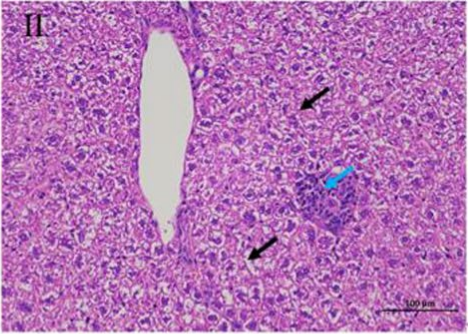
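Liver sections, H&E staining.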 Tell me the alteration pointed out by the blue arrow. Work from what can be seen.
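A compact cluster of small, round, dark purple nuclei lies among the hepatocytes. The clustered cells have scant cytoplasm and are much smaller than the surrounding hepatocytes.
Hence: lymphocyte infiltration.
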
